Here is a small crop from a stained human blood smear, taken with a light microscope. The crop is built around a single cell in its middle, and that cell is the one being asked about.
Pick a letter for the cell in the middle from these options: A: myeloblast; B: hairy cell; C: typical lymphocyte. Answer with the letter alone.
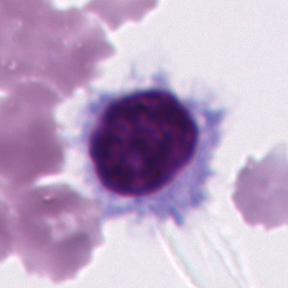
B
